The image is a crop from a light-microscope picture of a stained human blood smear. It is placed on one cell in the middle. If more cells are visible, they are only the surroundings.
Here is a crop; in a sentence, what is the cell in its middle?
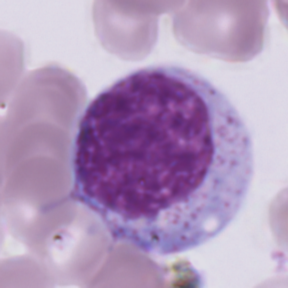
The cell in the exact centre of the crop is a promyelocyte.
